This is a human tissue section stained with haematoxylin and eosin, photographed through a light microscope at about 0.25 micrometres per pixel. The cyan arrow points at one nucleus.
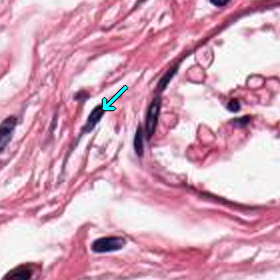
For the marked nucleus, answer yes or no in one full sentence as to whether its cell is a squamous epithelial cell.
No, the marked nucleus is assigned not to a squamous epithelial cell but to a supporting cell.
